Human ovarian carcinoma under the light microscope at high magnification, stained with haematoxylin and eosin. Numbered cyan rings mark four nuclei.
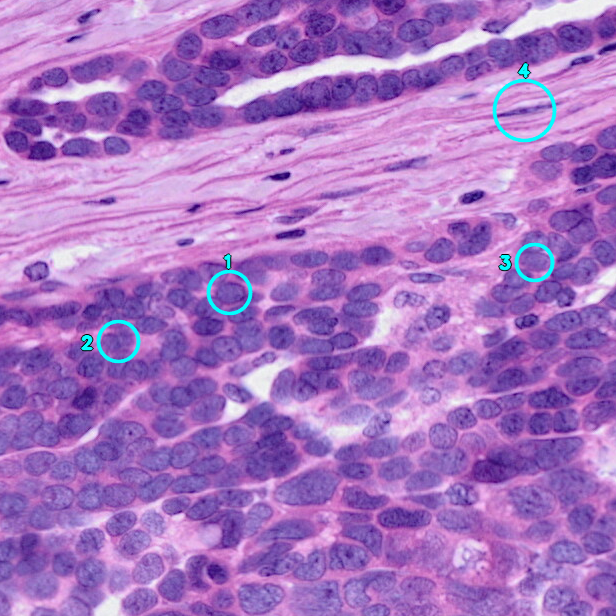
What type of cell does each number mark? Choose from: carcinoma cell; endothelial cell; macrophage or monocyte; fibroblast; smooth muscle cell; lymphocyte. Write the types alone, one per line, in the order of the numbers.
carcinoma cell
carcinoma cell
carcinoma cell
fibroblast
